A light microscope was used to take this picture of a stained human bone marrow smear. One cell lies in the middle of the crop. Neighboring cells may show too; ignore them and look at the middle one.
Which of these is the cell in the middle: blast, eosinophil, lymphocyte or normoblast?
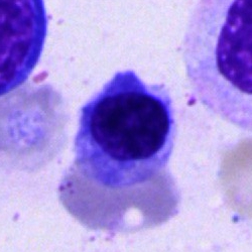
normoblast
